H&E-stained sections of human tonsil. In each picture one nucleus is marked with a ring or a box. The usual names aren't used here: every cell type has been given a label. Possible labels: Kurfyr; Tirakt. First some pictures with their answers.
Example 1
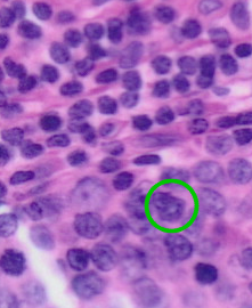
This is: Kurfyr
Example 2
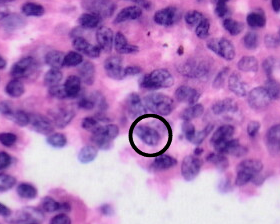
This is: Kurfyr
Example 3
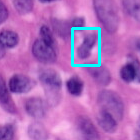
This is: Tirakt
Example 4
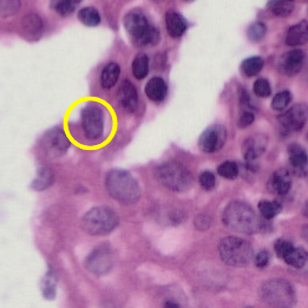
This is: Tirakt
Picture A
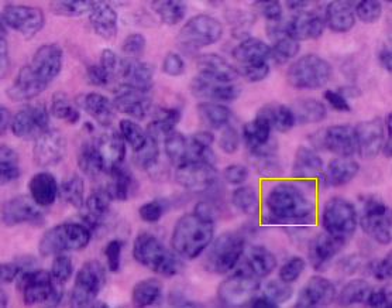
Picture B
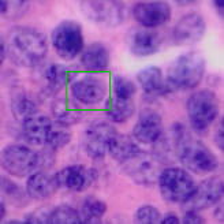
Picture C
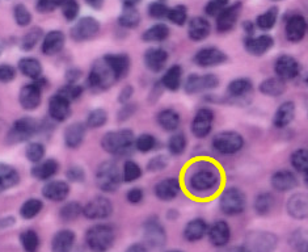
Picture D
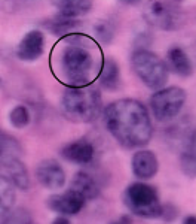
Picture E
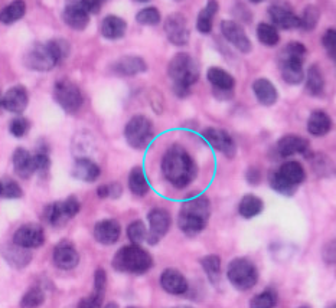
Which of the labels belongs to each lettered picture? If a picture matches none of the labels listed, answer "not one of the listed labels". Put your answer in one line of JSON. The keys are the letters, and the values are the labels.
{"A": "Kurfyr", "B": "Kurfyr", "C": "not one of the listed labels", "D": "Kurfyr", "E": "Kurfyr"}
